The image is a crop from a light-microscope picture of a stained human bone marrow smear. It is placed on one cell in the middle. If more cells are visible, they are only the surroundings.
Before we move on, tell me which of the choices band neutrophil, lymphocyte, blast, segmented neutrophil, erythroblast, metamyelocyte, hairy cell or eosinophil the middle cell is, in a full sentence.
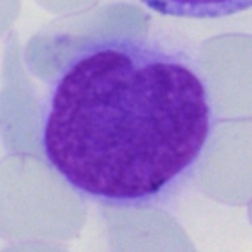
The cell under consideration, at the middle of the crop, is a blast.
